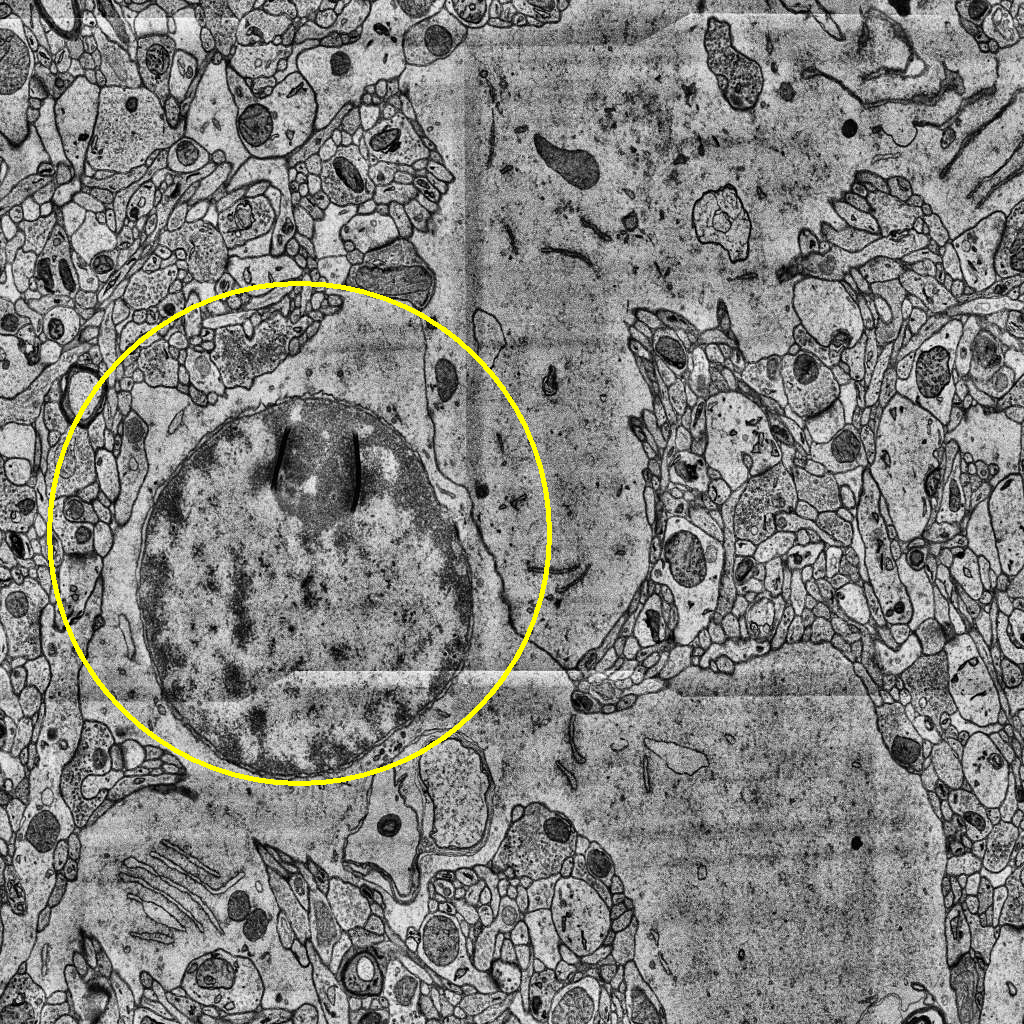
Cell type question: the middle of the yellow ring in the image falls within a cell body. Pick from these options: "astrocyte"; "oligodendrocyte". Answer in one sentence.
The cell body at the center of the ring belongs to an astrocyte.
